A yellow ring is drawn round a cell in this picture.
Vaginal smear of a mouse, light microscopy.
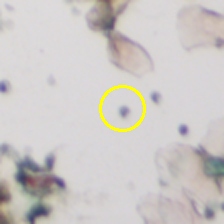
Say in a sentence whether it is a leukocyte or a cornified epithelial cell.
The cell in the ring is a leukocyte.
